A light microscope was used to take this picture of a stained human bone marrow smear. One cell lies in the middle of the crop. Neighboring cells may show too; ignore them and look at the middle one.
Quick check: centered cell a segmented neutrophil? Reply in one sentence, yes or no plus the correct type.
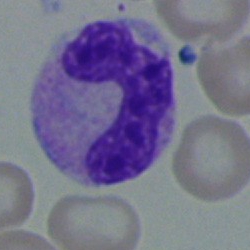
No, what the centre of the crop shows is a band neutrophil, not a segmented neutrophil.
